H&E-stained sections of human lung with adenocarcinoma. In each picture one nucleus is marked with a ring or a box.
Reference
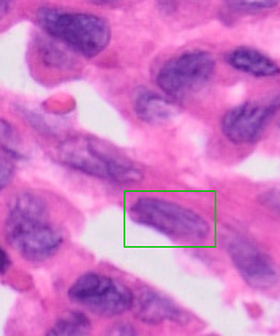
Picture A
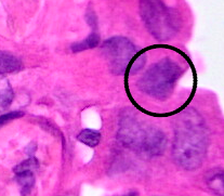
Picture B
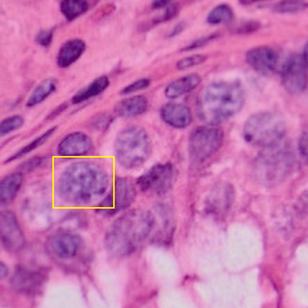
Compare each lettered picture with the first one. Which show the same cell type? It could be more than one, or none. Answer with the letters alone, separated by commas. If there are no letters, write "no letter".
A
